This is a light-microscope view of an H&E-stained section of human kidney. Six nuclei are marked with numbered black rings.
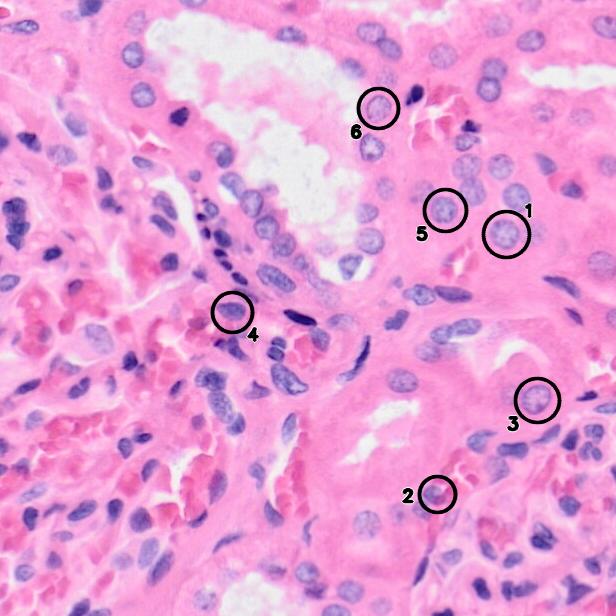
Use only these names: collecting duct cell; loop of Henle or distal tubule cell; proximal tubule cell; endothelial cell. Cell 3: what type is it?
proximal tubule cell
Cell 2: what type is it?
endothelial cell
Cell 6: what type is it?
loop of Henle or distal tubule cell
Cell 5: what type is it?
loop of Henle or distal tubule cell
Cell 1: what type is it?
loop of Henle or distal tubule cell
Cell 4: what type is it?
endothelial cell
